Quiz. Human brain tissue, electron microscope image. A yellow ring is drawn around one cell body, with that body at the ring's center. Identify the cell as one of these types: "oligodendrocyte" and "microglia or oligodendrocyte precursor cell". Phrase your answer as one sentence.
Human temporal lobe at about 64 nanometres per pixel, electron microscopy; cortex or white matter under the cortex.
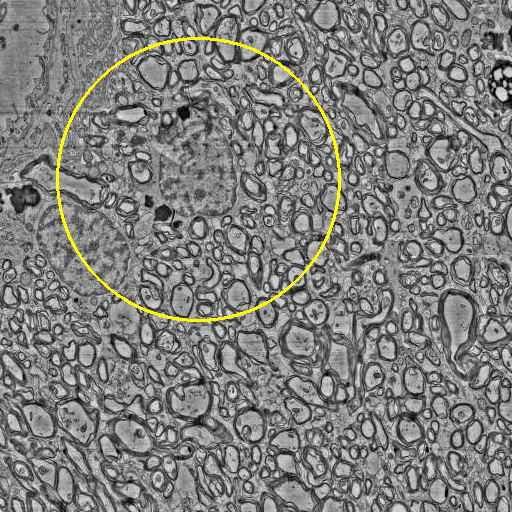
At the center of the ring sits an oligodendrocyte.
